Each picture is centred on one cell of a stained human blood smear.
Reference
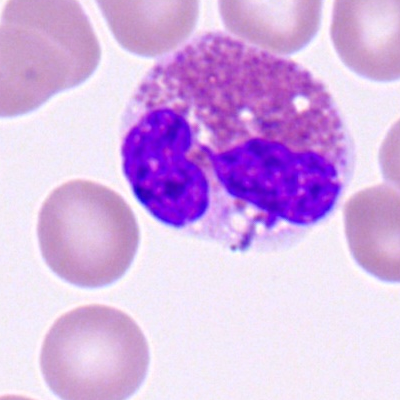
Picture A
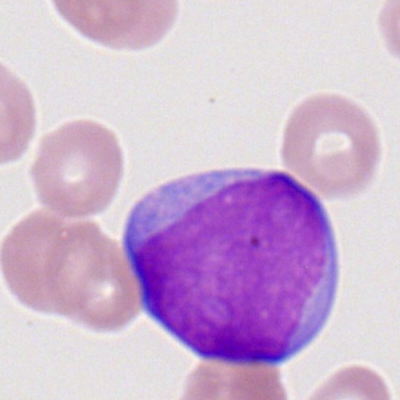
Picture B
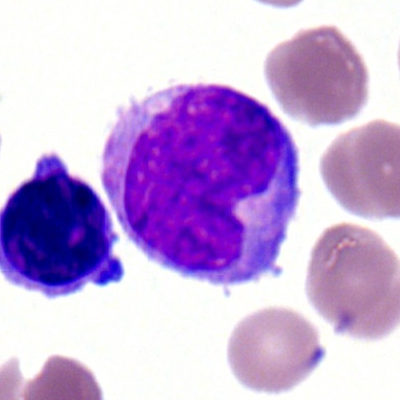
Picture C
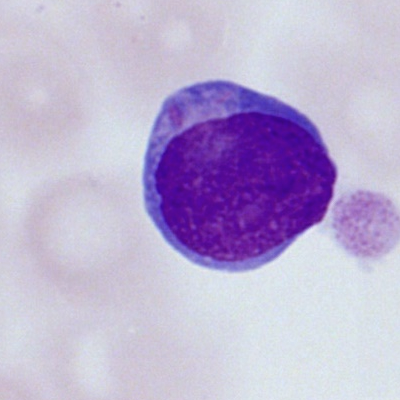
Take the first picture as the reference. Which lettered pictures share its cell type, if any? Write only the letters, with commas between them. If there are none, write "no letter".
no letter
